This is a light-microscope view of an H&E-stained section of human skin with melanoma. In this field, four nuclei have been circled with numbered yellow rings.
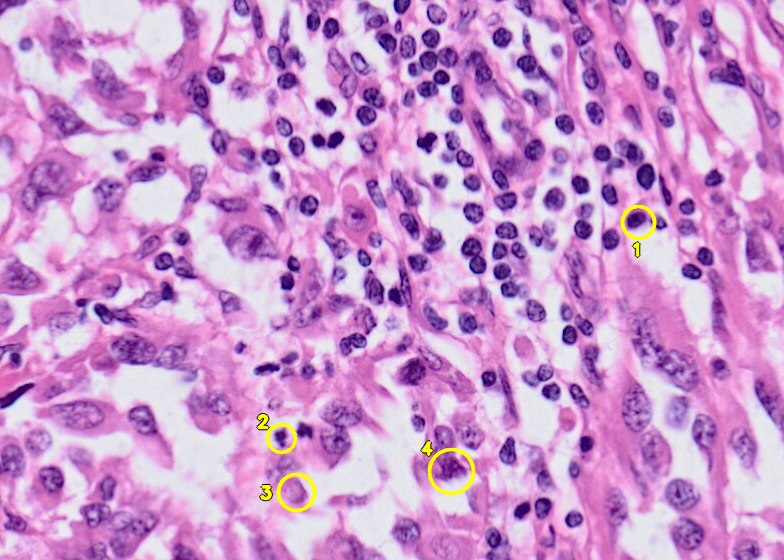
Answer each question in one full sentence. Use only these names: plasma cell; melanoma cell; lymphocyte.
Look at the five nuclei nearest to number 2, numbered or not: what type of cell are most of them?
Melanoma cells make up most of the five nuclei closest to number 2.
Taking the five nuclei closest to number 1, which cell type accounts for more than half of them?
Around number 1, most of the five nearest nuclei are those of lymphocytes.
